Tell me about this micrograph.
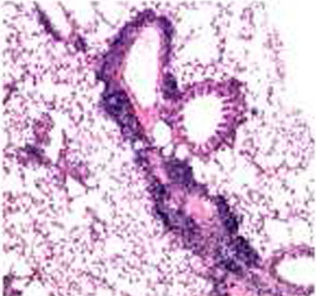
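Lung tissue with several airways and a vessel set among thin-walled pink alveoli. The alveolar tissue away from these cuffs is sparsely cellular.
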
